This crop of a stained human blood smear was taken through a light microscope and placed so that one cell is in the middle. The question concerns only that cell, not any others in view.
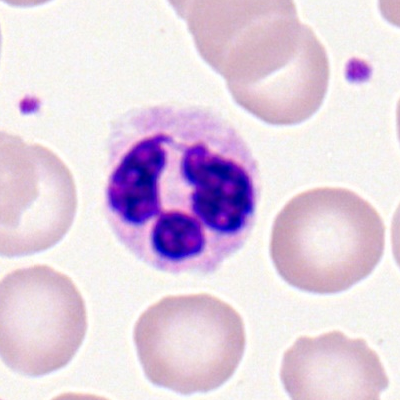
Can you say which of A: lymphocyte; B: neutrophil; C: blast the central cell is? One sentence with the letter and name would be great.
Option B is correct; the cell in the middle is a neutrophil.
